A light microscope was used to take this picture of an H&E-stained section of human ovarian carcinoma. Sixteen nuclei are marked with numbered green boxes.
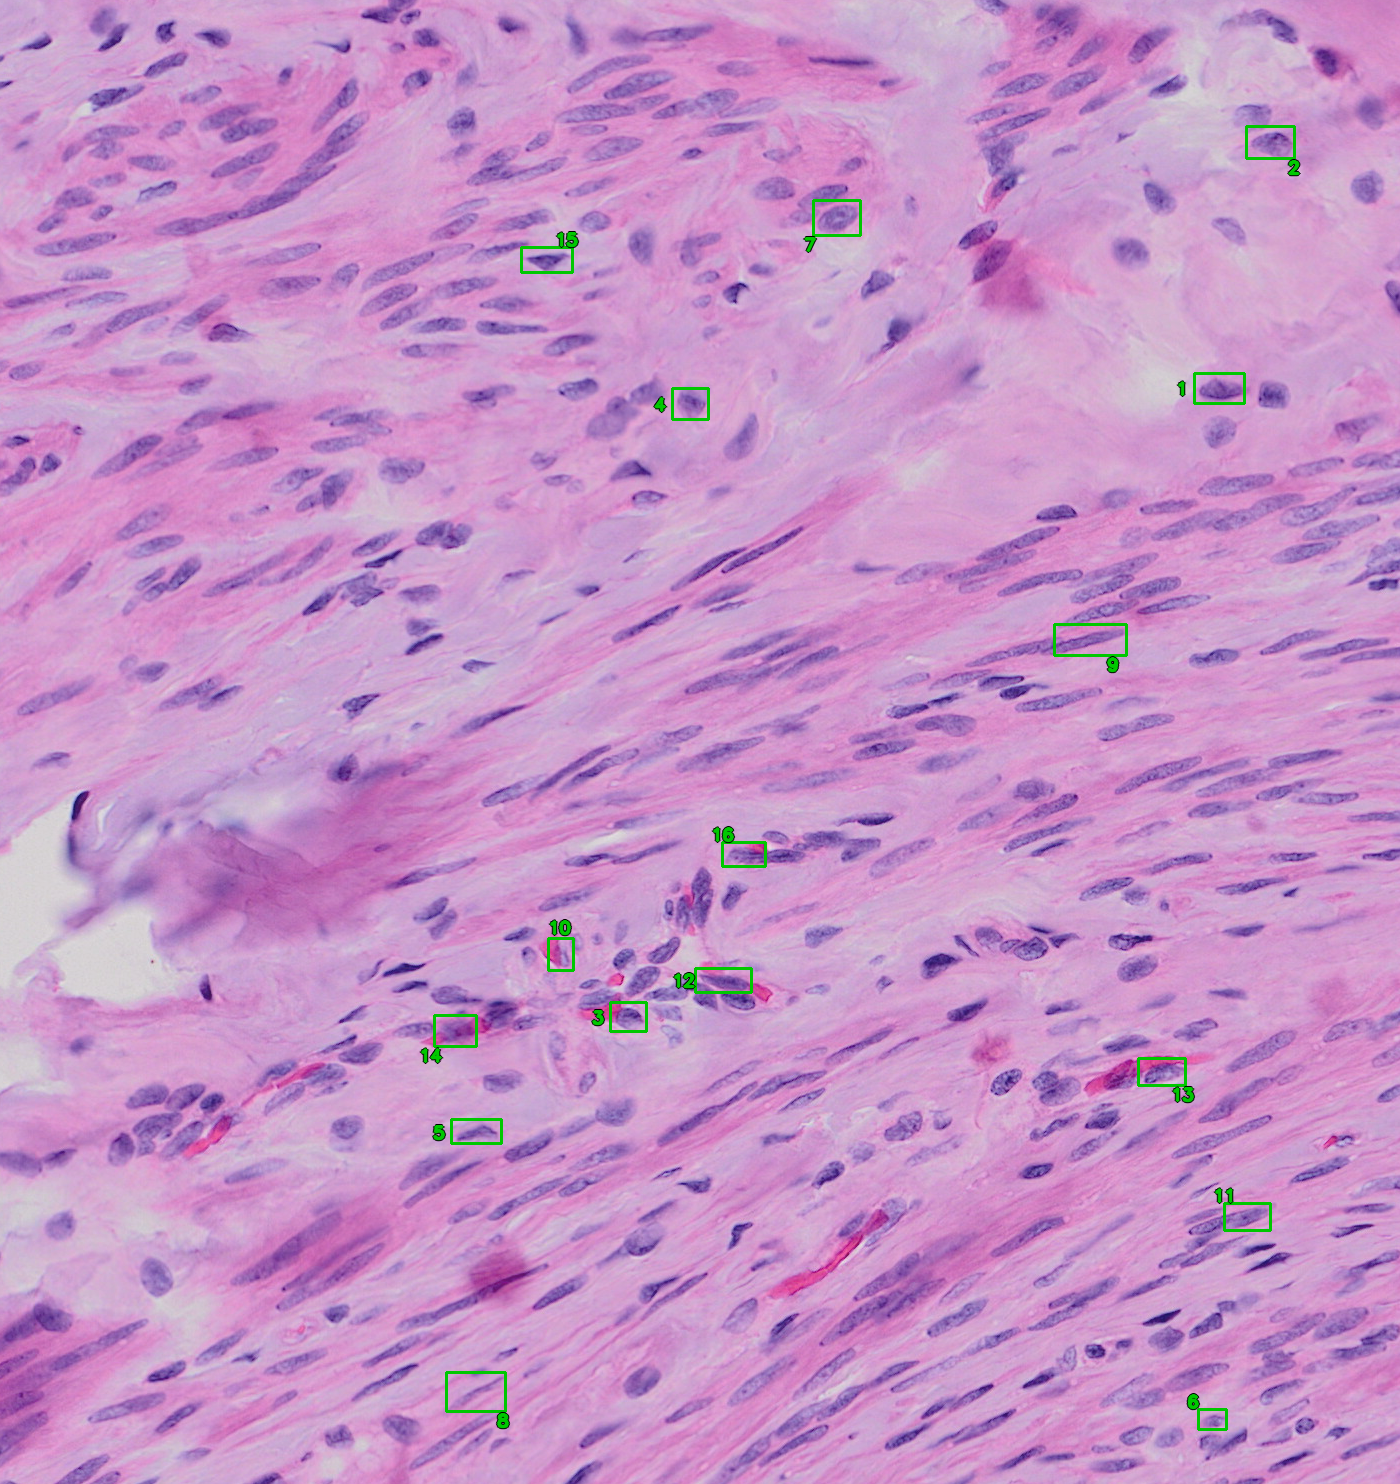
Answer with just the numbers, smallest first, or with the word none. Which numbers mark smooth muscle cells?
6, 7, 8, 9, 11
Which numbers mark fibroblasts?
1, 2, 4, 5, 15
